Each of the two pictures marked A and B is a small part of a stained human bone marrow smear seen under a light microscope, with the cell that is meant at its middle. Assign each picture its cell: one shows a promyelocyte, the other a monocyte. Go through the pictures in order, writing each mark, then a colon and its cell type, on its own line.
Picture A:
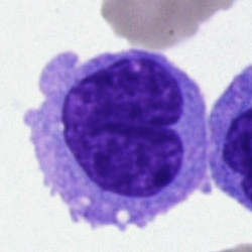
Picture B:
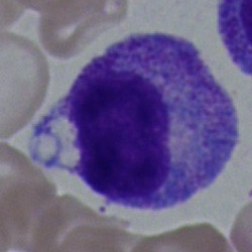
A: monocyte
B: promyelocyte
